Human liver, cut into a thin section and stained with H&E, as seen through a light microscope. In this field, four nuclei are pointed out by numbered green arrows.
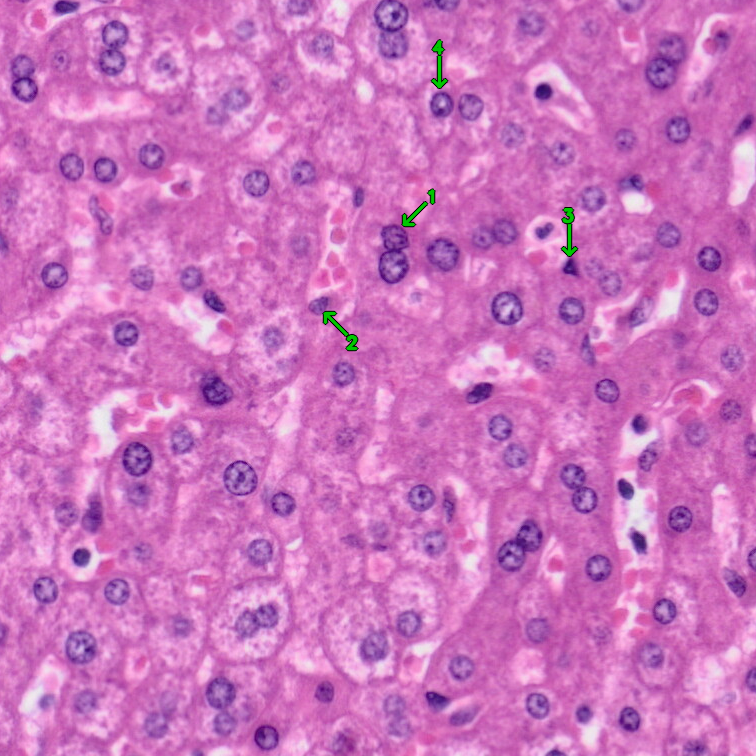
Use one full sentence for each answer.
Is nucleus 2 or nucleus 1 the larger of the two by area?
At about 2 times the area of nucleus 2, nucleus 1 is the larger of the two.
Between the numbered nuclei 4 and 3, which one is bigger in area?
Nucleus 4 covers more area, about 2.5 times as much as nucleus 3.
